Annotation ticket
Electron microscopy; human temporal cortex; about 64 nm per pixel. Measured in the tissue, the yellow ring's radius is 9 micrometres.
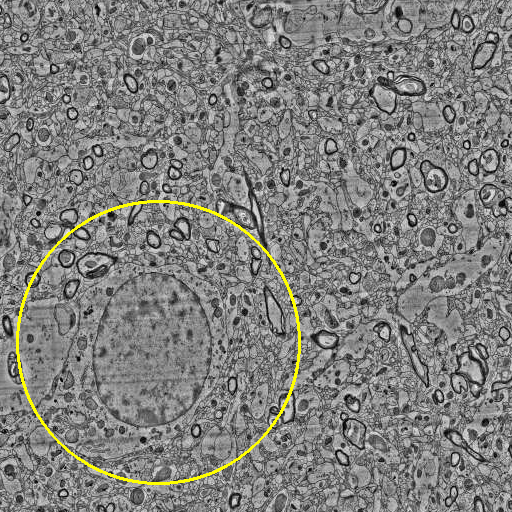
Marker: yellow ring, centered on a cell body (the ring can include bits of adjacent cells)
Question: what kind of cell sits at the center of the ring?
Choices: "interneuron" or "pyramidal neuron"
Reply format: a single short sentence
The ring is centered on an interneuron.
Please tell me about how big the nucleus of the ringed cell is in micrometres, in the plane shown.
In this plane the nucleus spans approximately 10 by 8 micrometers.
